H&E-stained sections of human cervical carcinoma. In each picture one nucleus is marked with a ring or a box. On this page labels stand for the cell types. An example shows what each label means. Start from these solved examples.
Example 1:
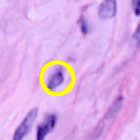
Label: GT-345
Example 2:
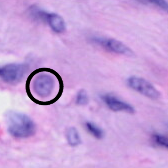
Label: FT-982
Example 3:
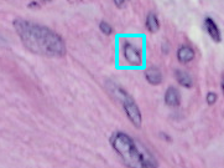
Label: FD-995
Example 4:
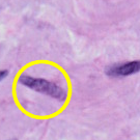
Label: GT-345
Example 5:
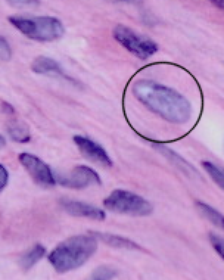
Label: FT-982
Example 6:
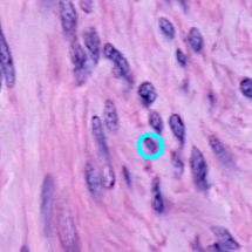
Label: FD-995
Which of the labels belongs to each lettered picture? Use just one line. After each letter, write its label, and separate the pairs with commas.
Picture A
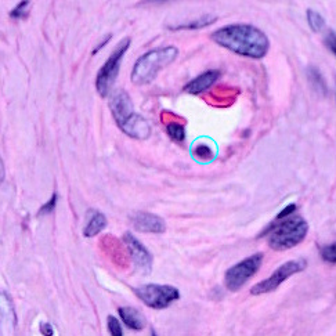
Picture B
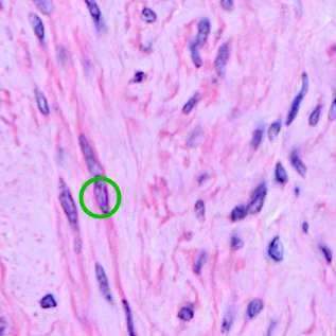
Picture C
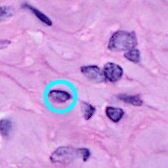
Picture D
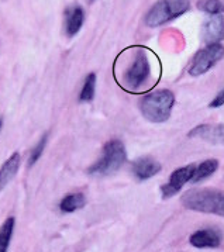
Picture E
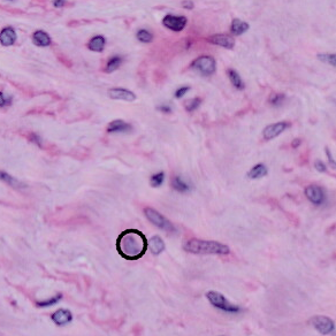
A FT-982, B FD-995, C GT-345, D FT-982, E FD-995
